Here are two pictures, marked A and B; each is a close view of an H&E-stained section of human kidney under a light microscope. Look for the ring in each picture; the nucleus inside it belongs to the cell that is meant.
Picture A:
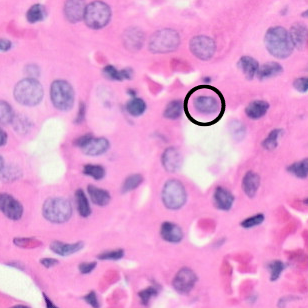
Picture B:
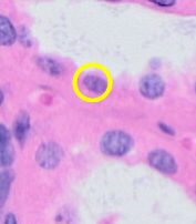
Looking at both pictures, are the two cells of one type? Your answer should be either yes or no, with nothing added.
yes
